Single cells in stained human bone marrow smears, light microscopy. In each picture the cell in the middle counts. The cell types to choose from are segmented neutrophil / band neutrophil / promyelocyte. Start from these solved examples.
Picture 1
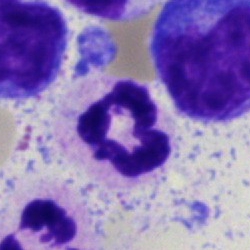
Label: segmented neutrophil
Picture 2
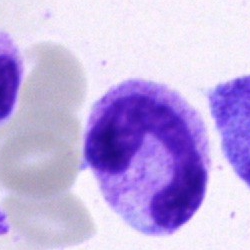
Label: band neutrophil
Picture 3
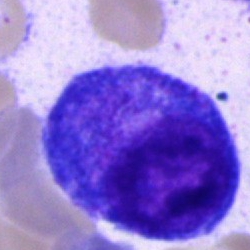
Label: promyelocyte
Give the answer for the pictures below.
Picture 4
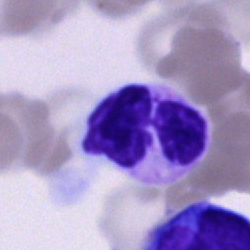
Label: segmented neutrophil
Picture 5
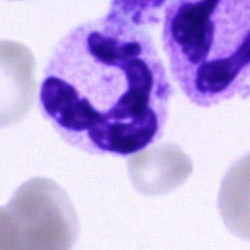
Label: segmented neutrophil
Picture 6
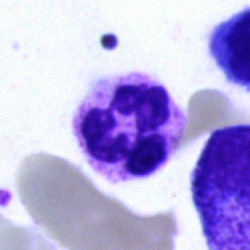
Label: segmented neutrophil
